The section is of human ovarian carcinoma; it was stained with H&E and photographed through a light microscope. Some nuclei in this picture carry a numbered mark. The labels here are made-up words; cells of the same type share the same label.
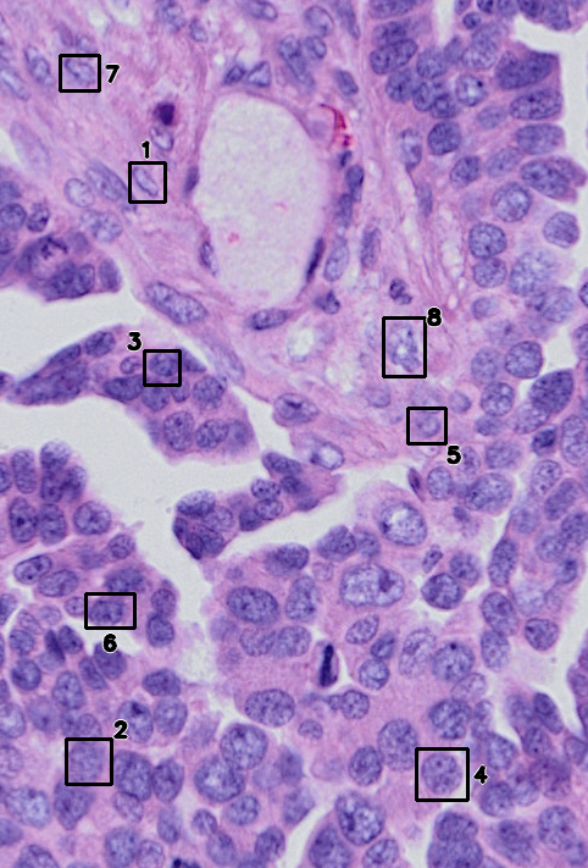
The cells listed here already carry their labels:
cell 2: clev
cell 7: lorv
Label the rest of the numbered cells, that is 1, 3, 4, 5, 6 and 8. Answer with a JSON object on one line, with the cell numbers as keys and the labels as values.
{"1": "lorv", "3": "clev", "4": "clev", "5": "lorv", "6": "clev", "8": "lorv"}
